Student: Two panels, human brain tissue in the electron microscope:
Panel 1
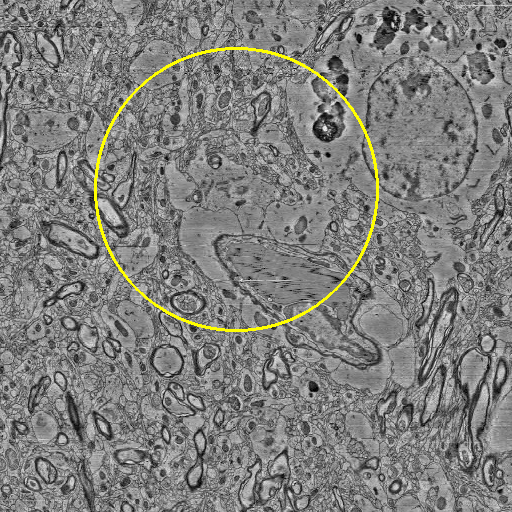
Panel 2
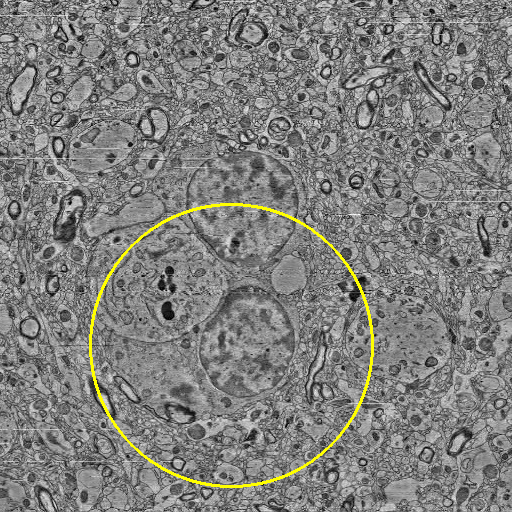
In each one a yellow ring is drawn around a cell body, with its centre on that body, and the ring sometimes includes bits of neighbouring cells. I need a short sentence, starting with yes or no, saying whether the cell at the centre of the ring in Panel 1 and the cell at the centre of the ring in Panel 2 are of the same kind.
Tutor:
No, they are two kinds of cell.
